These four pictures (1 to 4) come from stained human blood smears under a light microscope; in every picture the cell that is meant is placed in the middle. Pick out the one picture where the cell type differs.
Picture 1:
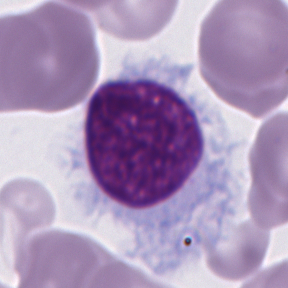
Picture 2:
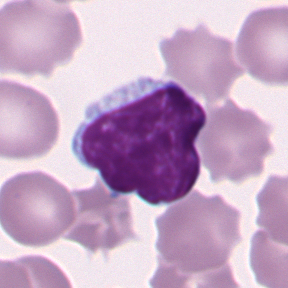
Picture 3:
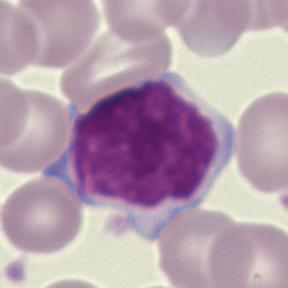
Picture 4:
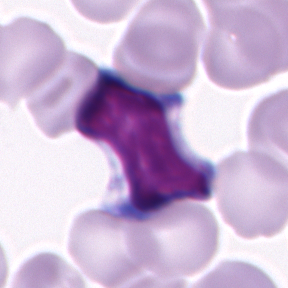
1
